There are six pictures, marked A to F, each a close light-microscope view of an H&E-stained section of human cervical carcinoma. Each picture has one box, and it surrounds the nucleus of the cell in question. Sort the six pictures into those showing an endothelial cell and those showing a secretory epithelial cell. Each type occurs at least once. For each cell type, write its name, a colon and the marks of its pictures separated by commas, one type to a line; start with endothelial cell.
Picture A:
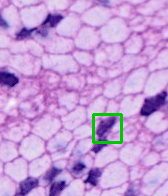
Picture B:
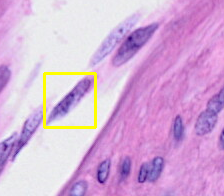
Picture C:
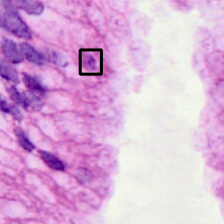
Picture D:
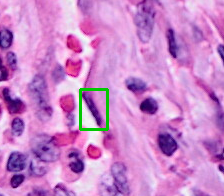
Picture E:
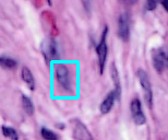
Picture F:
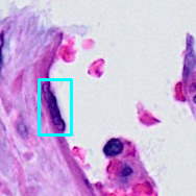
endothelial cell: B, D, E, F
secretory epithelial cell: A, C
